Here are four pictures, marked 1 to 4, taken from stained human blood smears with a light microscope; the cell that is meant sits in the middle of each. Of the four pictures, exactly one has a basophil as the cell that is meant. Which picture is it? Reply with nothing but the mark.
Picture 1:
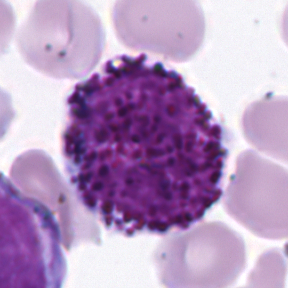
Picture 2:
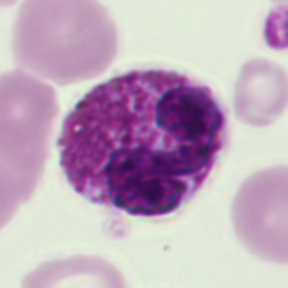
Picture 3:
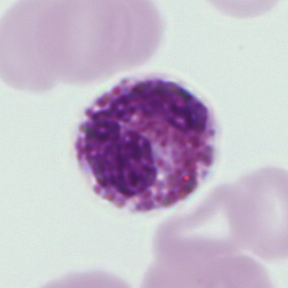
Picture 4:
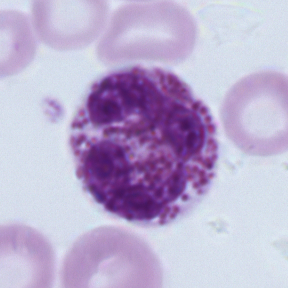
1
